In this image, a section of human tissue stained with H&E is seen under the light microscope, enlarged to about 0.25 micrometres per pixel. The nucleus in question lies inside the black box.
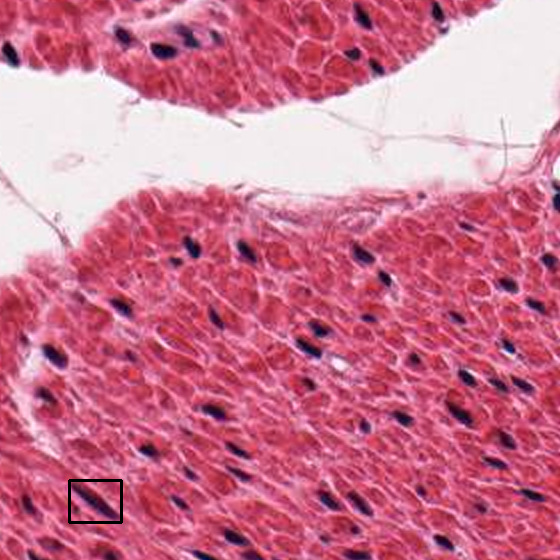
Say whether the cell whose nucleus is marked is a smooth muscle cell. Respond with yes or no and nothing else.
yes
